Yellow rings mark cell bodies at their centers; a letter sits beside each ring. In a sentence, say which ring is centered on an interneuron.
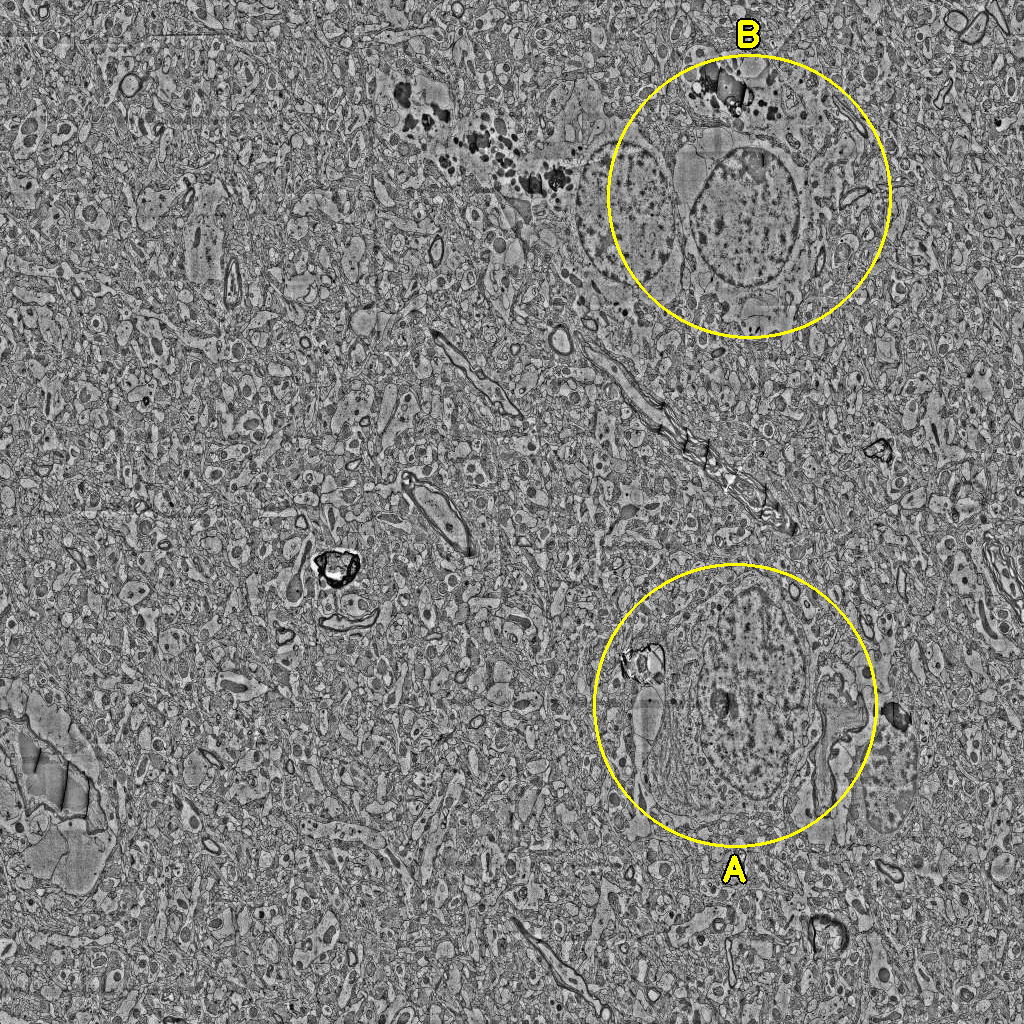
It is ring A.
